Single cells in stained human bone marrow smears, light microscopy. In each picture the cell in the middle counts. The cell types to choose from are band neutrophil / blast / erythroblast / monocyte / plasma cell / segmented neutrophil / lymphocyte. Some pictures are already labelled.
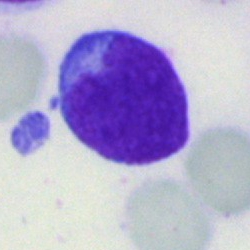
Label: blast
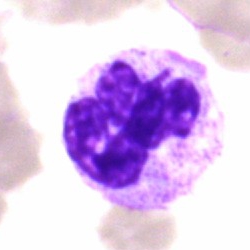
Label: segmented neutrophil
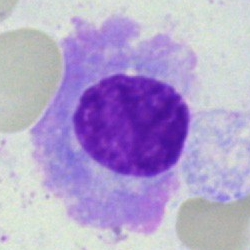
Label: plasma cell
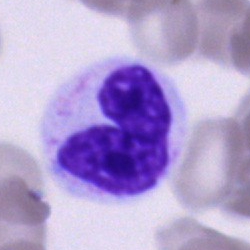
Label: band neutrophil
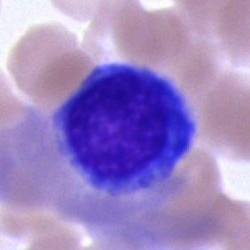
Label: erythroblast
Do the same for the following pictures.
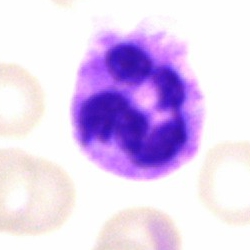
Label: segmented neutrophil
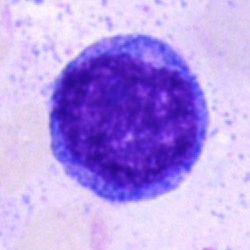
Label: blast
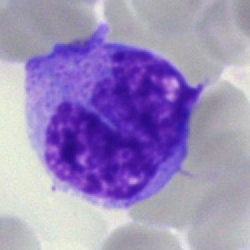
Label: monocyte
